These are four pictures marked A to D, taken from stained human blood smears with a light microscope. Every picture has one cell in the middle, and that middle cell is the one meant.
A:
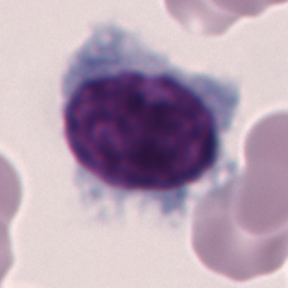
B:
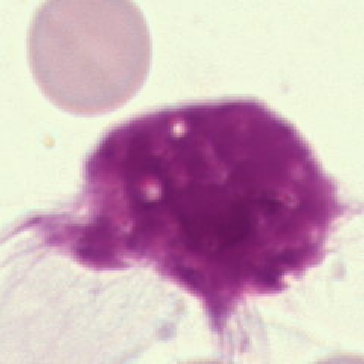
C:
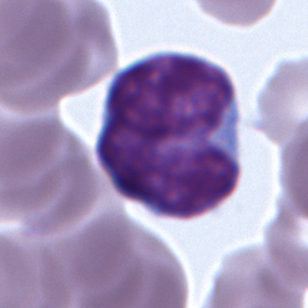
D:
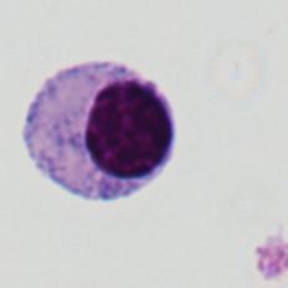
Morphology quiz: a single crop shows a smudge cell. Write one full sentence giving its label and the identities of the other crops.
The crop marked B contains a smudge cell, while crop A is a hairy cell, crop C is a typical lymphocyte and crop D is an erythroblast.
